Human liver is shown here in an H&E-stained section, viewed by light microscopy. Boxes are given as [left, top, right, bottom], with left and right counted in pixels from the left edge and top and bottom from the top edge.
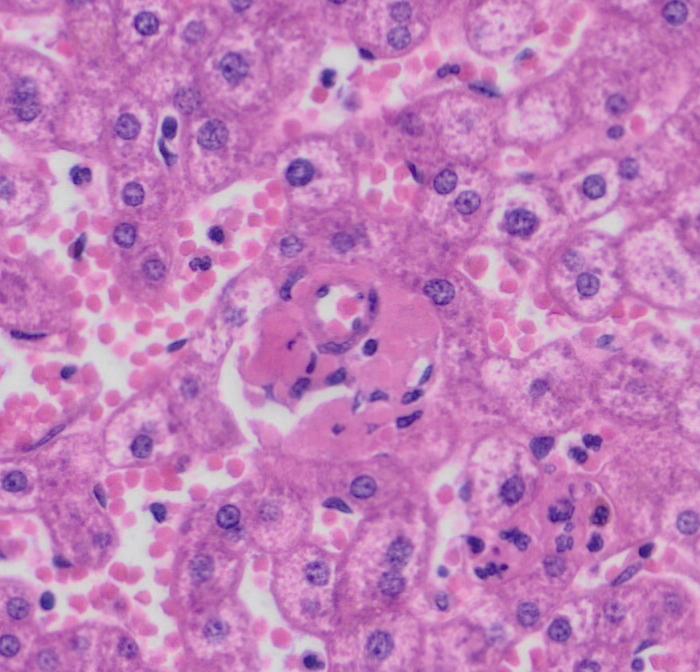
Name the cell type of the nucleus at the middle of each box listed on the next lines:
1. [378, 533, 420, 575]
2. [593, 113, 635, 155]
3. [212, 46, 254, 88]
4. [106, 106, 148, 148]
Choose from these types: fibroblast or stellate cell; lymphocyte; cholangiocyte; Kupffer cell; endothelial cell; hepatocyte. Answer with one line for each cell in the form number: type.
1: hepatocyte
2: lymphocyte
3: hepatocyte
4: hepatocyte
